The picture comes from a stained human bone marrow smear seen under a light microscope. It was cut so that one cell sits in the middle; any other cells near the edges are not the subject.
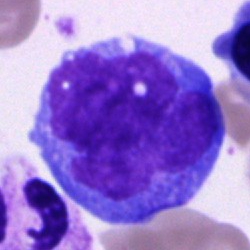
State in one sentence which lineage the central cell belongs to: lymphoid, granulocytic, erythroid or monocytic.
Lineage designation for the cell in the middle reads monocytic.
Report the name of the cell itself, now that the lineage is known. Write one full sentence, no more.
On this slide crop, the central cell is a monocyte.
